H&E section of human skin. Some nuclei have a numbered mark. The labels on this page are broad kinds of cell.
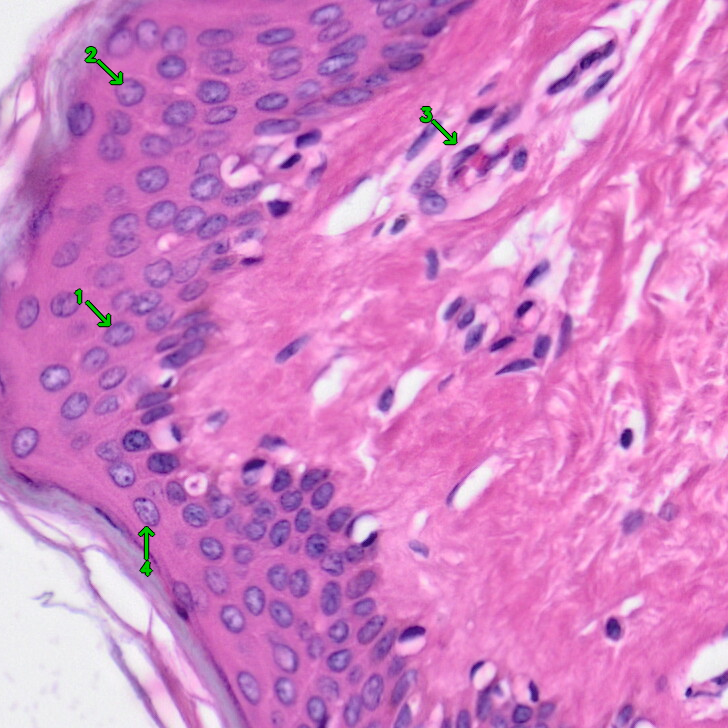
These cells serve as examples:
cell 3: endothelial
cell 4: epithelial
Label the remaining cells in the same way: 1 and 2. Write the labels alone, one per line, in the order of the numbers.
epithelial
epithelial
